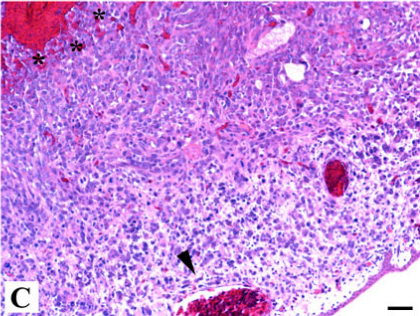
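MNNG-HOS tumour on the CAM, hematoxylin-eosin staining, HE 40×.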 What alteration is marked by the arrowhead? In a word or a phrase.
Angiogenesis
